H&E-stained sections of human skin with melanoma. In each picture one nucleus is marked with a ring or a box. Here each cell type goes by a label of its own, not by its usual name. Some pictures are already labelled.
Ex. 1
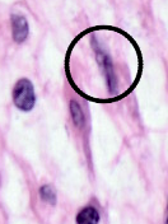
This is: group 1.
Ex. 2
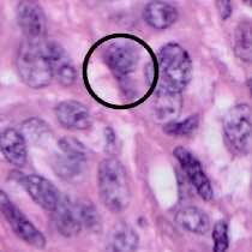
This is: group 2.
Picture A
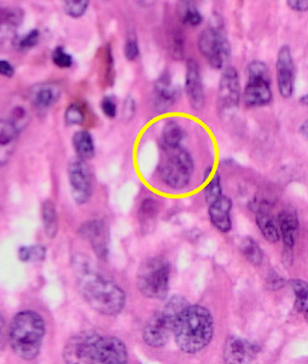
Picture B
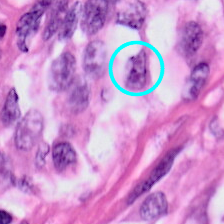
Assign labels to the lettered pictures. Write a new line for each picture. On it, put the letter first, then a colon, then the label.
A: group 2.
B: group 2.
